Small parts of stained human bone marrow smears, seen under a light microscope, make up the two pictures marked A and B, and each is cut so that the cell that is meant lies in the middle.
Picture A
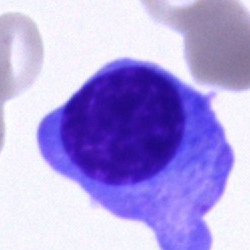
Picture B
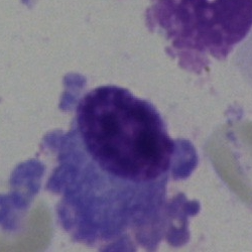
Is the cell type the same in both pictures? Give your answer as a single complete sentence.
Yes, both cells are plasma cells.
